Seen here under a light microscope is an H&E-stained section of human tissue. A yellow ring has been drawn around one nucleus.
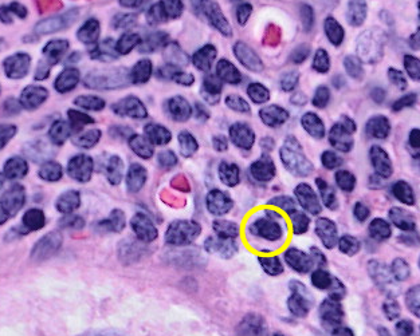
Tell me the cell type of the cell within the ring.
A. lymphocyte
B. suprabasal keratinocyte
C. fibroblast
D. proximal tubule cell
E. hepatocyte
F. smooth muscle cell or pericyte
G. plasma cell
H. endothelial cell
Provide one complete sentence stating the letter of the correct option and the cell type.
Here the cell within the ring is a lymphocyte, which makes option A correct.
